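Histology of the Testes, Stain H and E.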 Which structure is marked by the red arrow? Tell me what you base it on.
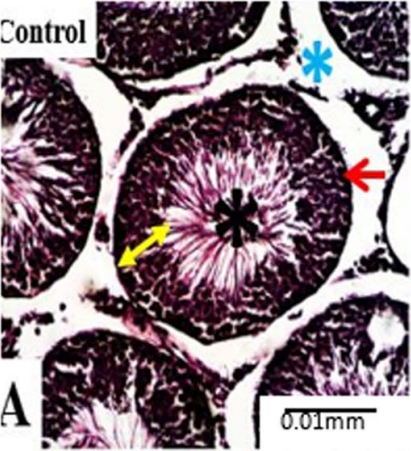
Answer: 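The arrow points to the thin outer boundary of the round tubule. The boundary is a continuous thin line between the cellular layer and the clear space outside. So: basement membrane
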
